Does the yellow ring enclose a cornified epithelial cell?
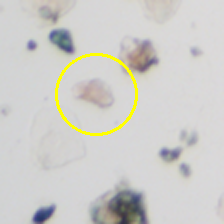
Yes. The ring encloses a cornified epithelial cell.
